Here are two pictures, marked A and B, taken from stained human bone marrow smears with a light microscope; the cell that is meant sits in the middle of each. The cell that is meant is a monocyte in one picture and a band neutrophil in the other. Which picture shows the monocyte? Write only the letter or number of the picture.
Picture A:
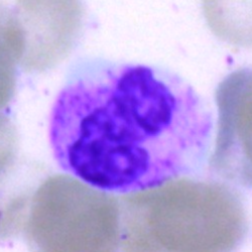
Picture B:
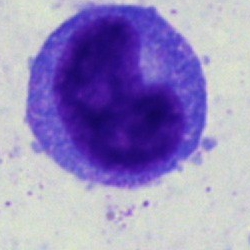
B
